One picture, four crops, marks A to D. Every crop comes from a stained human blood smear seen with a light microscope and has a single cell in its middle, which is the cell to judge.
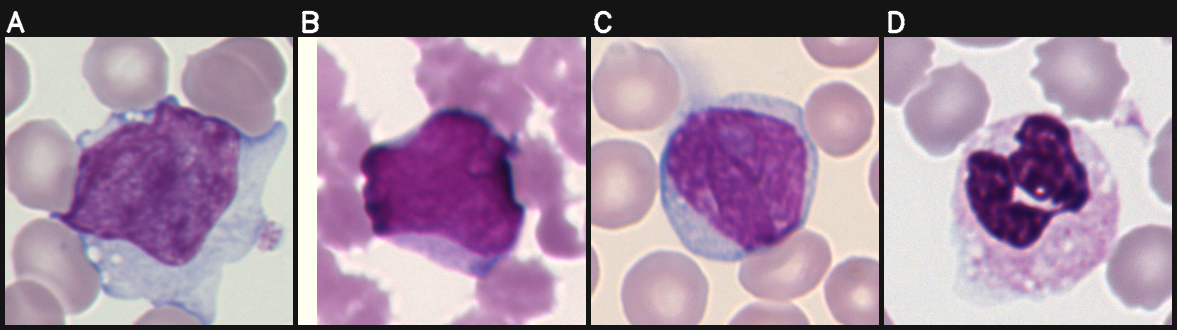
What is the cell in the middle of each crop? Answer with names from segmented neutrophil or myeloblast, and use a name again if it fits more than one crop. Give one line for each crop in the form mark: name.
A: myeloblast
B: myeloblast
C: myeloblast
D: segmented neutrophil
